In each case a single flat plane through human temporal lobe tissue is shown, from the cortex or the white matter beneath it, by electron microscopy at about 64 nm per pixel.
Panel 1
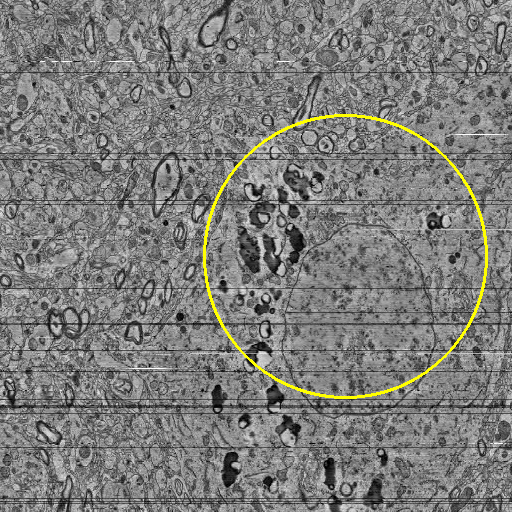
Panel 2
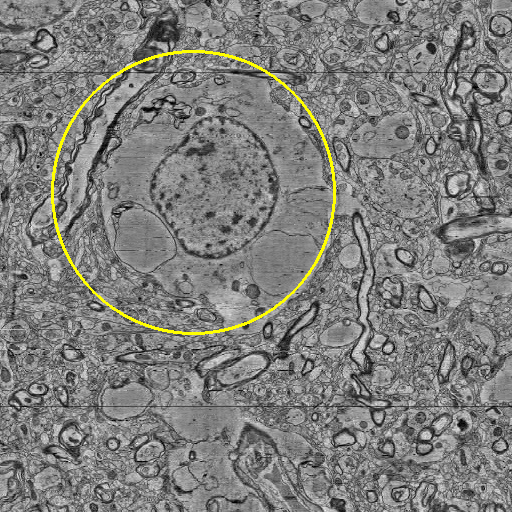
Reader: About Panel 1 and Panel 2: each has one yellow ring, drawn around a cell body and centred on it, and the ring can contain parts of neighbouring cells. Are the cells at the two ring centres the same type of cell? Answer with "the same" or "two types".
two types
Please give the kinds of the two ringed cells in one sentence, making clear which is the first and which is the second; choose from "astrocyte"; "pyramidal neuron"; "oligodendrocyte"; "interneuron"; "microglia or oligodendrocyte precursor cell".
In the second picture the ringed cell is an astrocyte; in the first it is a pyramidal neuron.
